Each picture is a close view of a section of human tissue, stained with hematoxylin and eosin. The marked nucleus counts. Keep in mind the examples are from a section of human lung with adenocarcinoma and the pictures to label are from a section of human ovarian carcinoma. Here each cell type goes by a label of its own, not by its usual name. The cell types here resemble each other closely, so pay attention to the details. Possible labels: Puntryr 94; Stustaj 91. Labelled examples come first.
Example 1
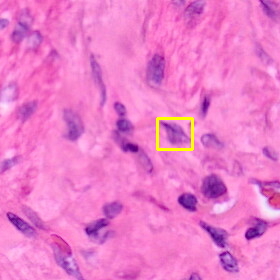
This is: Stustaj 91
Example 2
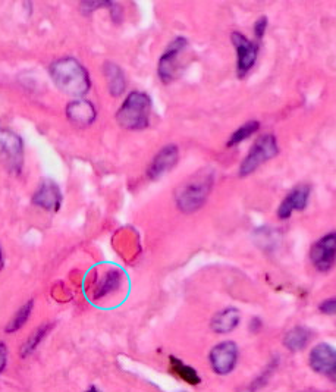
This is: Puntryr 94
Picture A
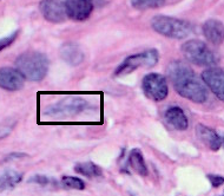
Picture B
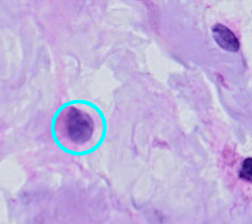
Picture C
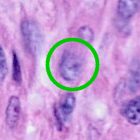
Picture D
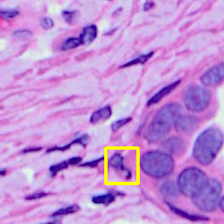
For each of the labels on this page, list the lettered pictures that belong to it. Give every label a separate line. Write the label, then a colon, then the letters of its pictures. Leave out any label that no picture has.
Stustaj 91: A, B, C, D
